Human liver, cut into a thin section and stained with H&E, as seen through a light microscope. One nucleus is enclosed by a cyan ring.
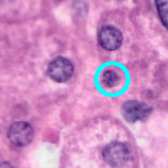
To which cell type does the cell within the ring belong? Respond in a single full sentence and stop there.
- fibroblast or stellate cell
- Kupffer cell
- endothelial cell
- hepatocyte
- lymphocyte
It is a lymphocyte that the cell within the ring represents.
